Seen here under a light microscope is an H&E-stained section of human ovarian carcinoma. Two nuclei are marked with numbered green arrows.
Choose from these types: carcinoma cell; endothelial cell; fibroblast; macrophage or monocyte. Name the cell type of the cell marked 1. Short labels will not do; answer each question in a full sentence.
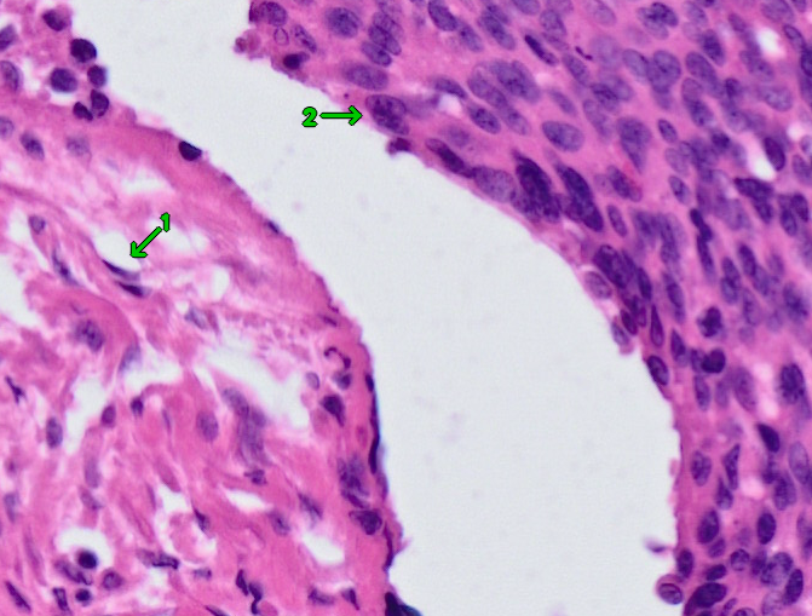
The cell numbered 1 represents a fibroblast.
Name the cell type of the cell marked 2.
The identity of cell 2 is that of a carcinoma cell.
